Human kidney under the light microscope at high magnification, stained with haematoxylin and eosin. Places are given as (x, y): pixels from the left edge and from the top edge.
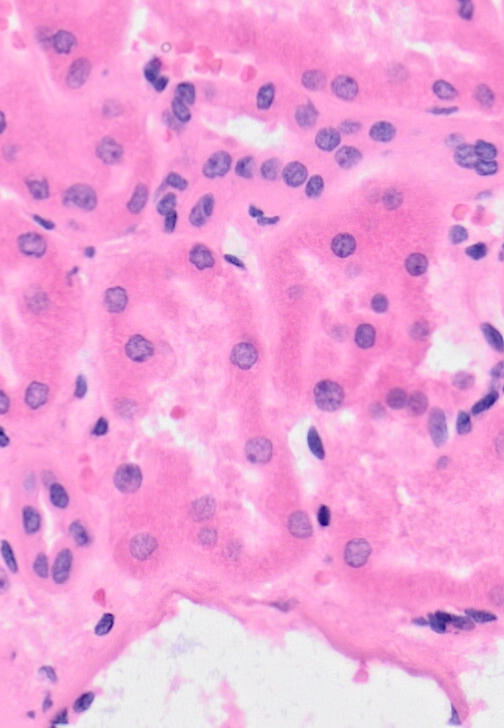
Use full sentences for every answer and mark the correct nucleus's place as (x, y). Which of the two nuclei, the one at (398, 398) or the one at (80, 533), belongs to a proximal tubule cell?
Of the two nuclei, the nucleus of a proximal tubule cell is at (398, 398).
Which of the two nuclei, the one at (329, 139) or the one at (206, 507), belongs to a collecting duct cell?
Located at (329, 139), this nucleus is the one belonging to a collecting duct cell.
